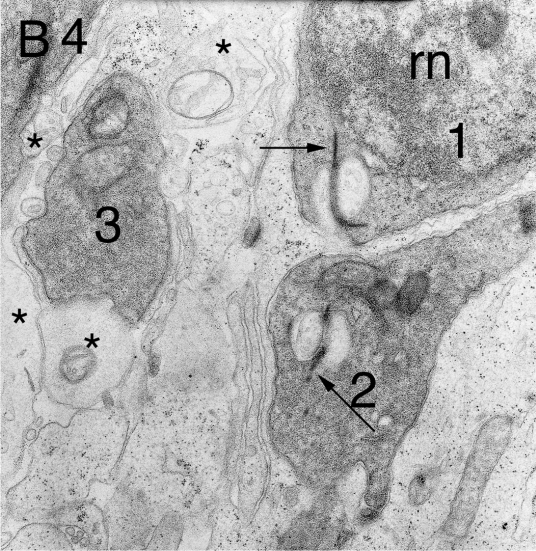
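In two terminals a dark synaptic ribbon stands over a pale invagination into which pale lobes of postsynaptic processes protrude. Part of a nucleus with granular chromatin borders the upper terminal.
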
